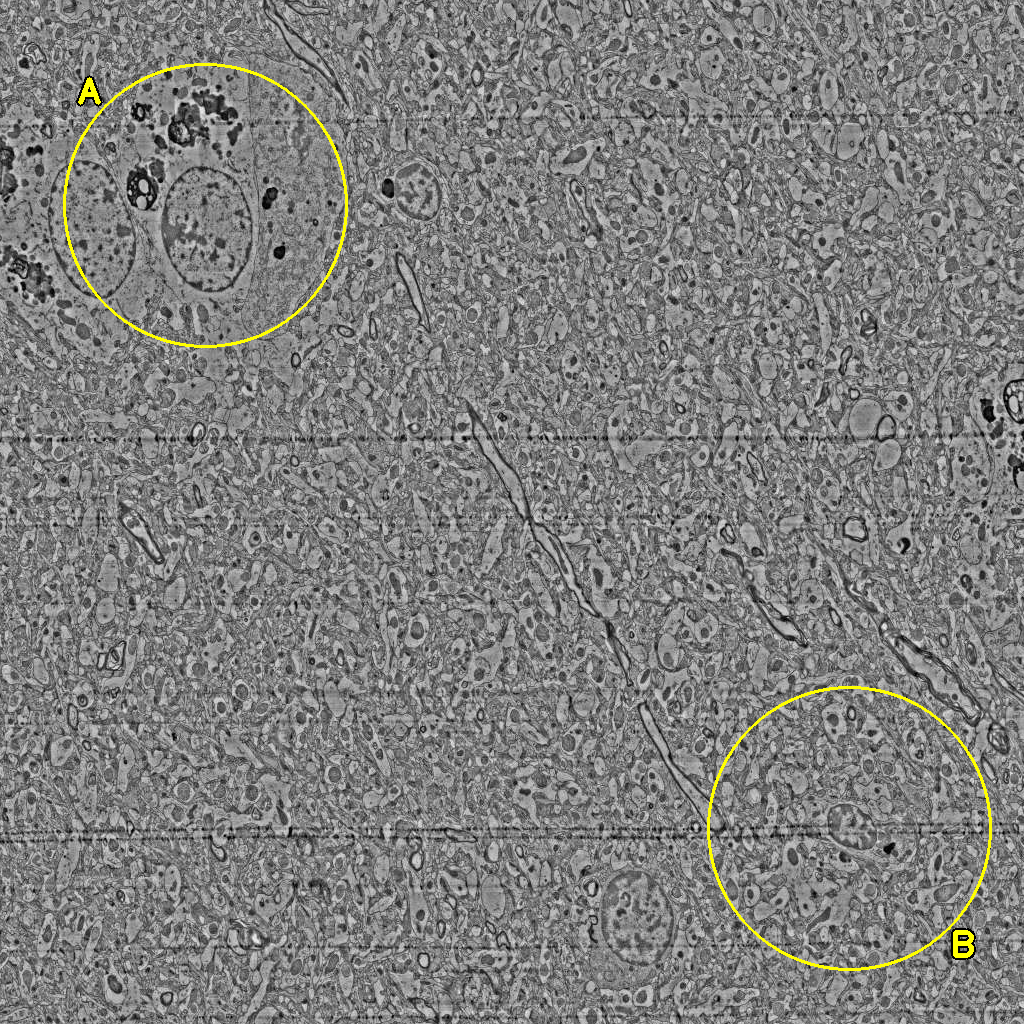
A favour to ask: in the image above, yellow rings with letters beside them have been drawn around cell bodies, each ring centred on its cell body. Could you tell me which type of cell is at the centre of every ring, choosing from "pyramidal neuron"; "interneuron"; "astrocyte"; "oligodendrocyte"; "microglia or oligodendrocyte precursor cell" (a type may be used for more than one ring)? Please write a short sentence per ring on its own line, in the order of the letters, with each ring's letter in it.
Ring A holds an astrocyte at its centre.
Ring B holds a microglial cell or oligodendrocyte precursor cell at its centre.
